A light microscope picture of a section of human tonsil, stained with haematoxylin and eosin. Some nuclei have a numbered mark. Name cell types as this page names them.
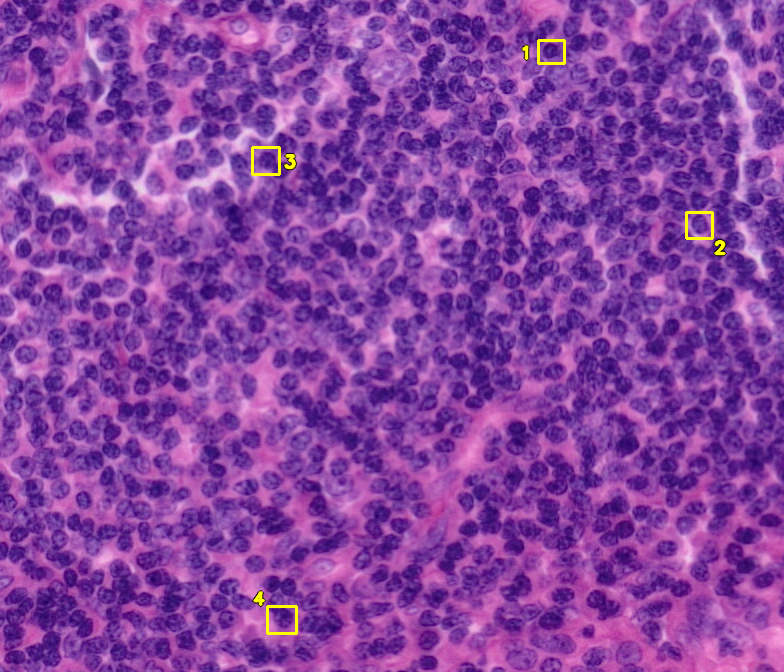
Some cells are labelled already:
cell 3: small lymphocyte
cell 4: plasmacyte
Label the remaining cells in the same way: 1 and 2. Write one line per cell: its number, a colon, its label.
1: small lymphocyte
2: small lymphocyte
